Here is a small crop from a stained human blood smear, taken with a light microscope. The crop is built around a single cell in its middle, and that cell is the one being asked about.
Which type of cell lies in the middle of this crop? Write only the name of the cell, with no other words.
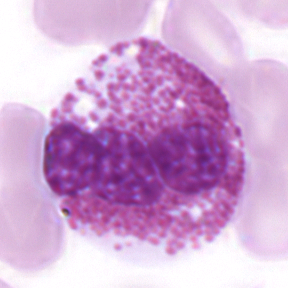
eosinophil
